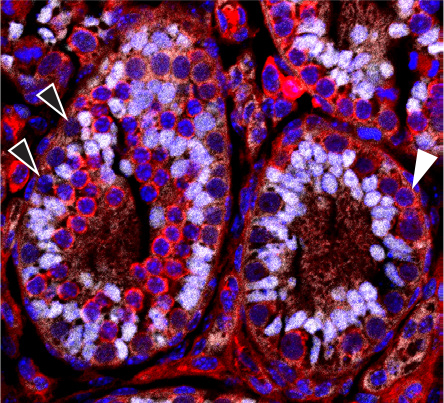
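Cross sections of seminiferous tubules in which nuclei stained grey, those of Sertoli cells, crowd the epithelium around the lumen. Round germ cells with blue nuclei and red cytoplasm sit near the base of the tubules, and arrowheads point to single round cells at the tubule periphery.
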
